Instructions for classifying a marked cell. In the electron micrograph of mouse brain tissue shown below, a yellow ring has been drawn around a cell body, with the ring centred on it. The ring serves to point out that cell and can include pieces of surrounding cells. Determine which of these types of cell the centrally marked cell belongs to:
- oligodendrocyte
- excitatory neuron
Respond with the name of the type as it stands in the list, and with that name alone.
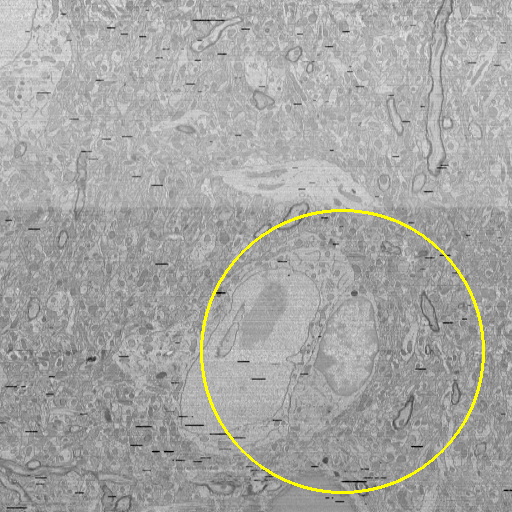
oligodendrocyte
